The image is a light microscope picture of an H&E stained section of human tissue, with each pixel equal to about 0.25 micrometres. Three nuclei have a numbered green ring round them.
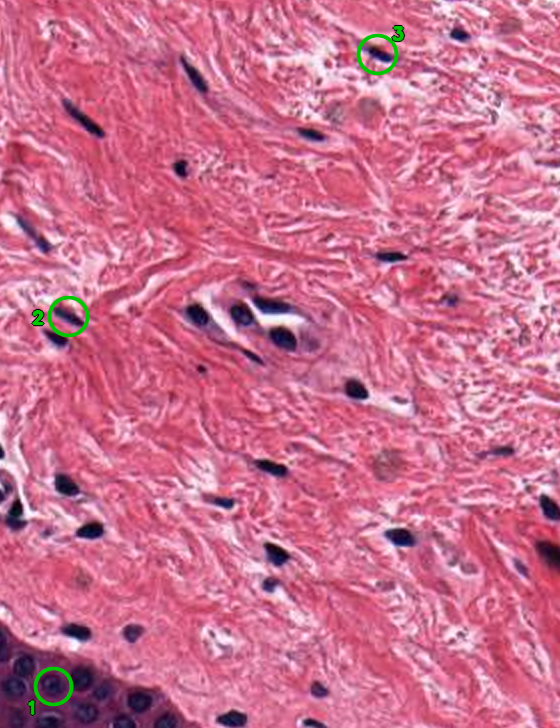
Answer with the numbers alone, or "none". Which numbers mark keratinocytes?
1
